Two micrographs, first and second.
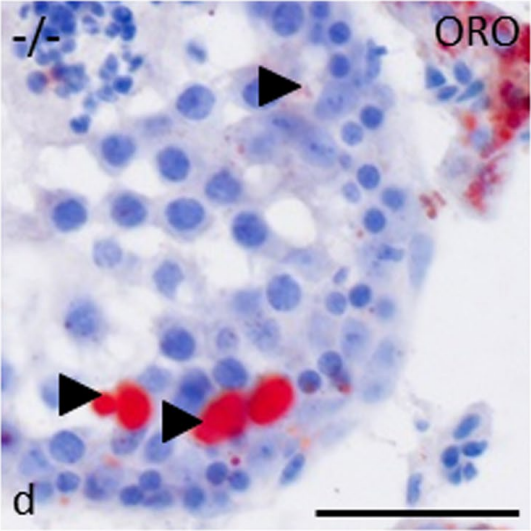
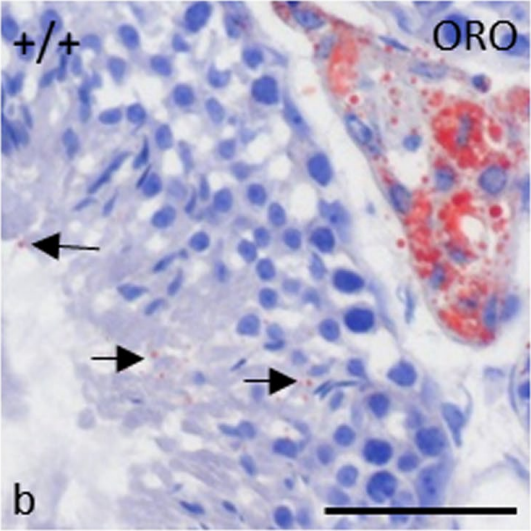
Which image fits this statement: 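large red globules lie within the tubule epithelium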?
The first image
